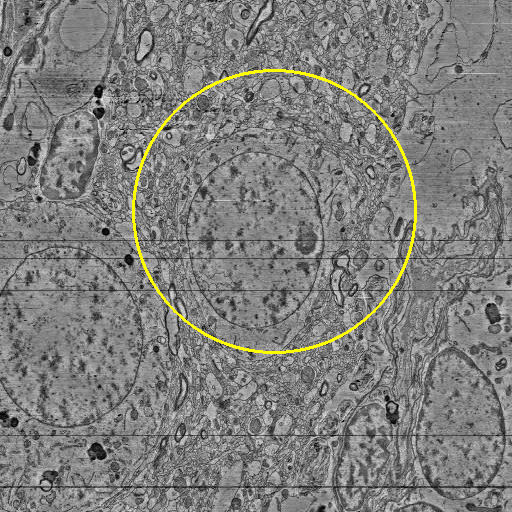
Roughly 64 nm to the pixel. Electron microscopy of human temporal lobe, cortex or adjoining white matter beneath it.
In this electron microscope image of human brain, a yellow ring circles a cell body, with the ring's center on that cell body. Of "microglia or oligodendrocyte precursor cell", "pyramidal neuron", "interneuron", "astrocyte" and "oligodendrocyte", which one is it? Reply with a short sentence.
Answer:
It is a pyramidal neuron at the center of the ring.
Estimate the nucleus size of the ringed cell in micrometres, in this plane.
The nucleus of the ringed cell is approximately 12 by 9 micrometres in this plane.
